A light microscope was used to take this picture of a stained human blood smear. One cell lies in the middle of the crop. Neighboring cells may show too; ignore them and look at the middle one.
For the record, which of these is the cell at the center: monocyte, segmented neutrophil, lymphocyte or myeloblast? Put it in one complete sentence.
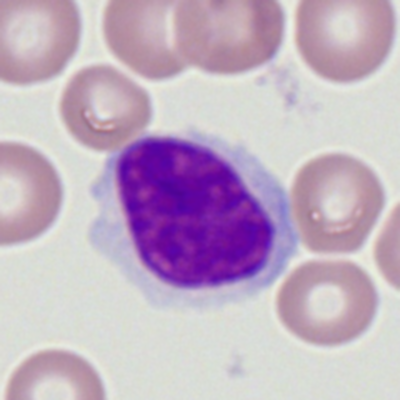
In the middle of this smear crop is a lymphocyte.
